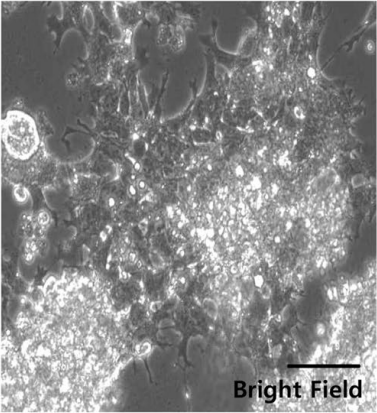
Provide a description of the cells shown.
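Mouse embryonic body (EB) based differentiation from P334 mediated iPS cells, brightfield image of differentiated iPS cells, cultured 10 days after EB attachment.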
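The clusters are tightly packed, and the cells in them are hard to tell apart. Between the clusters, flattened cells with irregular outlines and thin, branching processes cover the surface. Round, refractile cell aggregates sit apart near the left edge, and dark, cell-free areas of the dish lie between the colonies.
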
